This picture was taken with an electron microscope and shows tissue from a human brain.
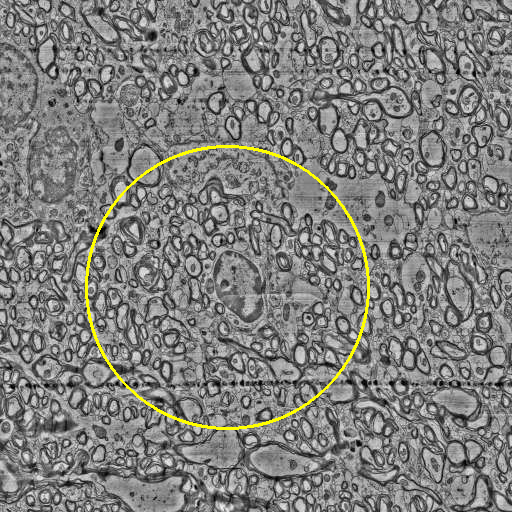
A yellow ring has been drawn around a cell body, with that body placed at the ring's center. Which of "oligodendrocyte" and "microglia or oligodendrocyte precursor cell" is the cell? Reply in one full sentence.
In this picture, a microglial cell or oligodendrocyte precursor cell is the cell at the center of the yellow ring.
